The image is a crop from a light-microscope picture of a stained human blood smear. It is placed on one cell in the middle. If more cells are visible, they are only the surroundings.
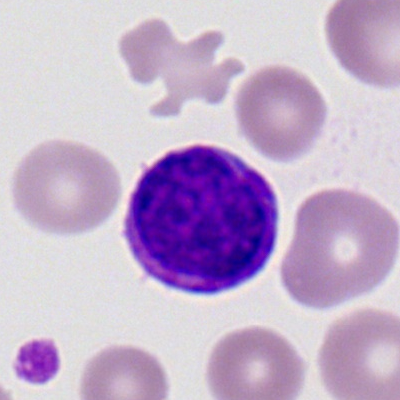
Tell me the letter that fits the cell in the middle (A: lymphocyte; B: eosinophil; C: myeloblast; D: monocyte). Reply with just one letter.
A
